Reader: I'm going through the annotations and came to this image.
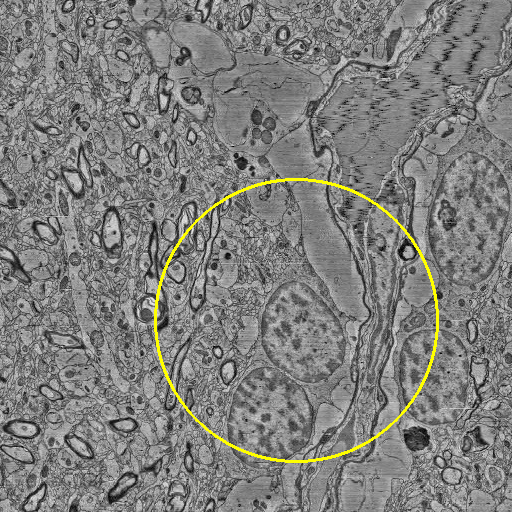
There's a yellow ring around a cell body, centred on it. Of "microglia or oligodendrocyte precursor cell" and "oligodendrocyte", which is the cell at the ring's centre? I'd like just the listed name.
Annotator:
oligodendrocyte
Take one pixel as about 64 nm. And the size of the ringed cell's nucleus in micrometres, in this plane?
The nucleus works out at approximately 7 by 6 micrometres in this plane.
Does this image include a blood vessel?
Yes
